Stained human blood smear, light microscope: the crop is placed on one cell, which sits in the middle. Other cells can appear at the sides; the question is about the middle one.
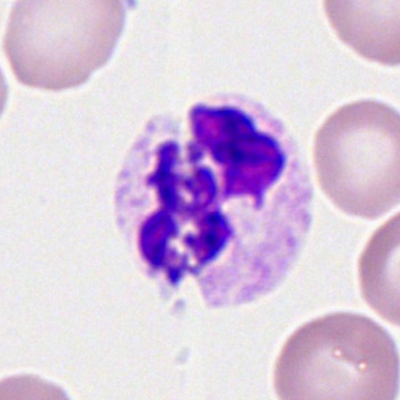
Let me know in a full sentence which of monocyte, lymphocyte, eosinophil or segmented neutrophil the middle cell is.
The cell positioned in the middle of the field is a segmented neutrophil.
